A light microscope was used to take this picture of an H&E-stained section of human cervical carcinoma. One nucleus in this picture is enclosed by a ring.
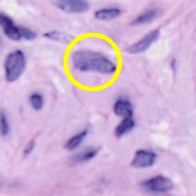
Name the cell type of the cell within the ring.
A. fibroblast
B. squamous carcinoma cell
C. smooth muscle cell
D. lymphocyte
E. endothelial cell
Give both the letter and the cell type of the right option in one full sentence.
Option A holds, since the cell within the ring is a fibroblast.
